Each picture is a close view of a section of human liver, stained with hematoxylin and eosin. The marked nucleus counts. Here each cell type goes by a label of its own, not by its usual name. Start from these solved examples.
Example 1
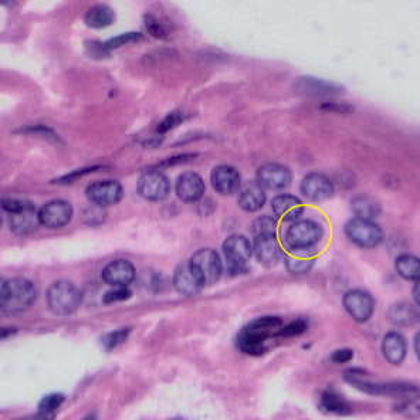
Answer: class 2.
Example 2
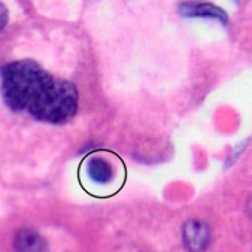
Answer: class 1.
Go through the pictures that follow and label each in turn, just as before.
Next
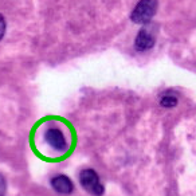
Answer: class 1.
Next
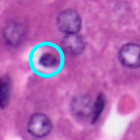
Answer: class 1.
